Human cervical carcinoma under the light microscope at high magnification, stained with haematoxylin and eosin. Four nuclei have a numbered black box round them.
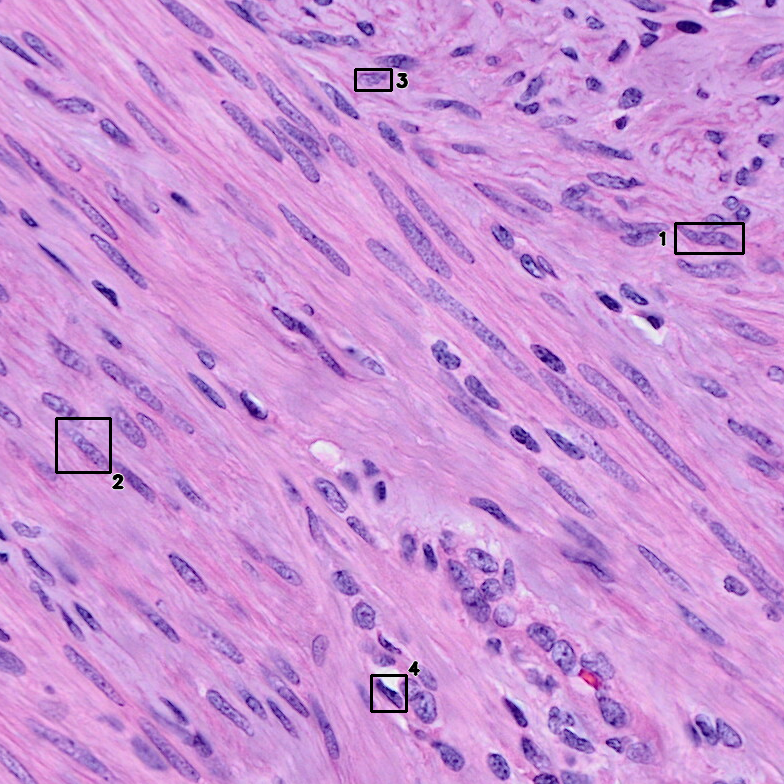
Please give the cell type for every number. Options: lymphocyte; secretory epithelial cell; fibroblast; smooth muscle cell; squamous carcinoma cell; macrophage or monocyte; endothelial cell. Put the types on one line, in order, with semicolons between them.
smooth muscle cell; smooth muscle cell; smooth muscle cell; endothelial cell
